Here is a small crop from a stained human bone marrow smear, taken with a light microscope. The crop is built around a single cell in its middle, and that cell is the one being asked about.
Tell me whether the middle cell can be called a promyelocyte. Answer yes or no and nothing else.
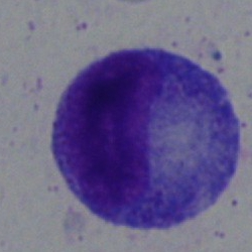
yes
